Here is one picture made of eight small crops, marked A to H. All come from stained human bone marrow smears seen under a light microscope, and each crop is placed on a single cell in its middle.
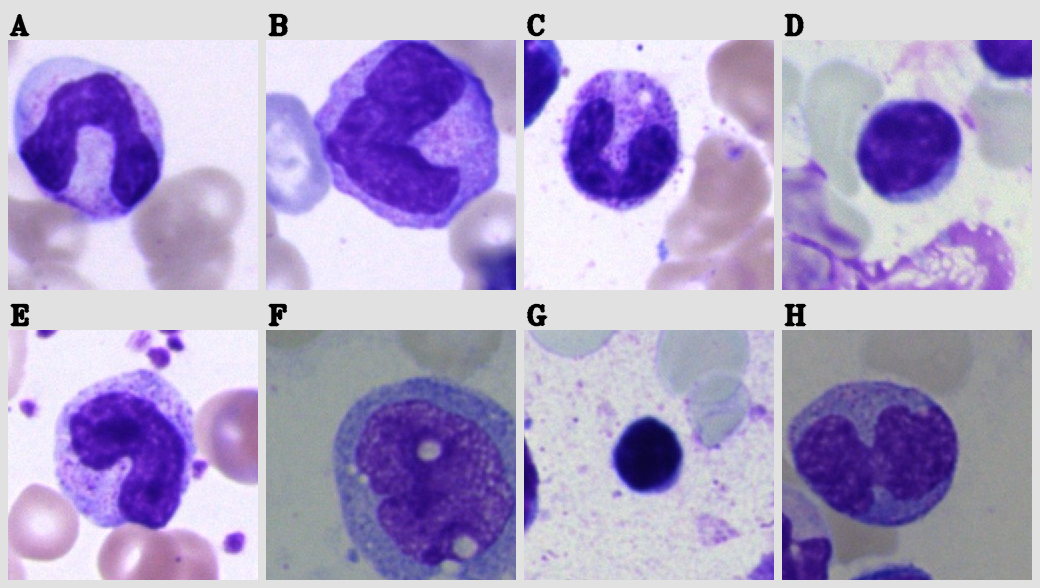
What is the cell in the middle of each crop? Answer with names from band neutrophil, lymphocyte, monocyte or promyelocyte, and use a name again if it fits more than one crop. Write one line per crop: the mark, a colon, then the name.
A: band neutrophil
B: monocyte
C: band neutrophil
D: lymphocyte
E: band neutrophil
F: monocyte
G: lymphocyte
H: monocyte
